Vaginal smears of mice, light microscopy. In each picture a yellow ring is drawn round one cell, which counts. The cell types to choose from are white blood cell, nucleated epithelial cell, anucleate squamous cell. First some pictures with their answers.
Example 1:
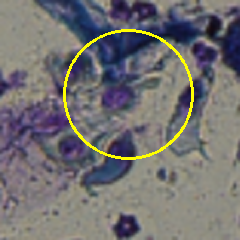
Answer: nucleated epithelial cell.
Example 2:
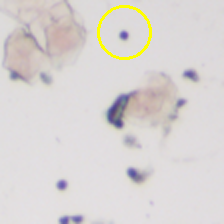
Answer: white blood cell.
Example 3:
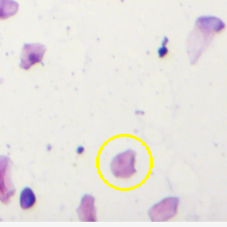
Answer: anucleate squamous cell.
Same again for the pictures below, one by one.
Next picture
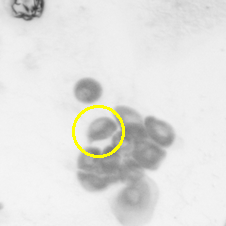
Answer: nucleated epithelial cell.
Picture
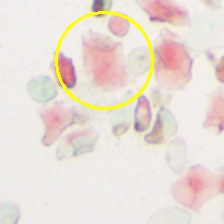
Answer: anucleate squamous cell.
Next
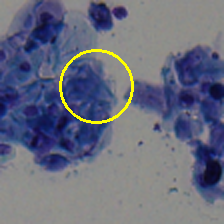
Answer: anucleate squamous cell.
